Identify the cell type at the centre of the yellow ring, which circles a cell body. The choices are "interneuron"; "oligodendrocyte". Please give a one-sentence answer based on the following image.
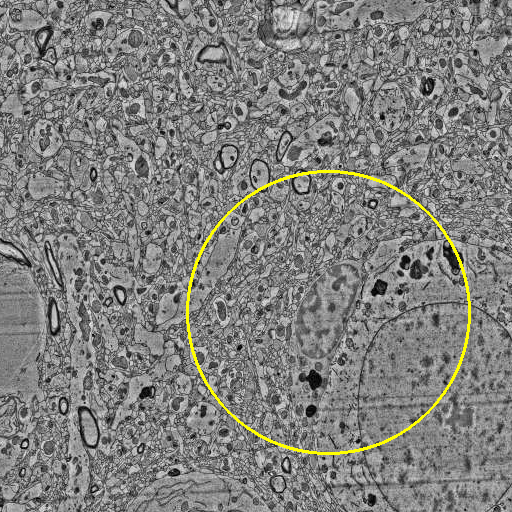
The cell marked by the ring is an oligodendrocyte.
